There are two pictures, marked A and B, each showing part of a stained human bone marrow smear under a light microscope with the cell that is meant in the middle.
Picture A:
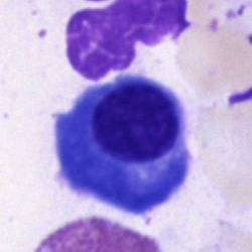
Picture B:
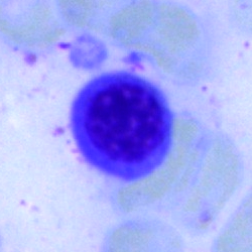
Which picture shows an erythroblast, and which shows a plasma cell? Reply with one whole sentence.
In picture A the cell is a plasma cell; in picture B, an erythroblast.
